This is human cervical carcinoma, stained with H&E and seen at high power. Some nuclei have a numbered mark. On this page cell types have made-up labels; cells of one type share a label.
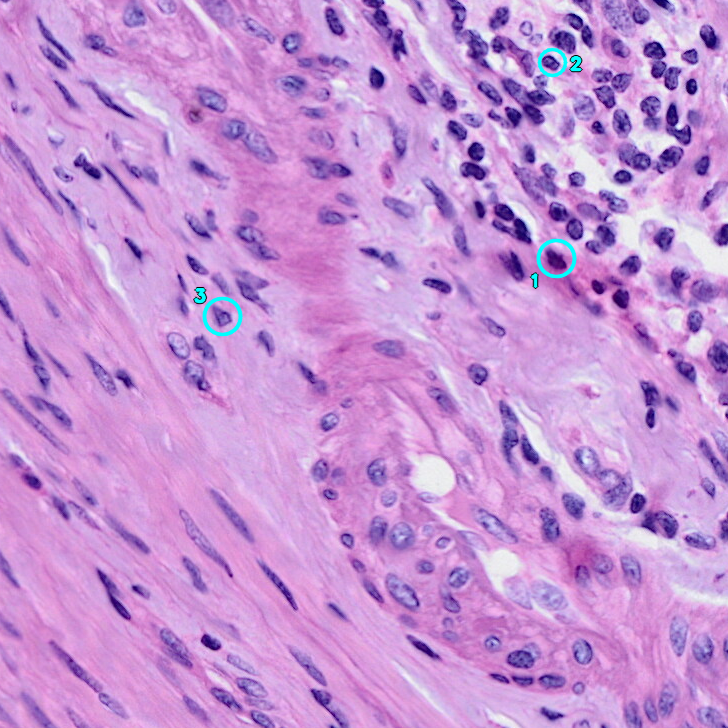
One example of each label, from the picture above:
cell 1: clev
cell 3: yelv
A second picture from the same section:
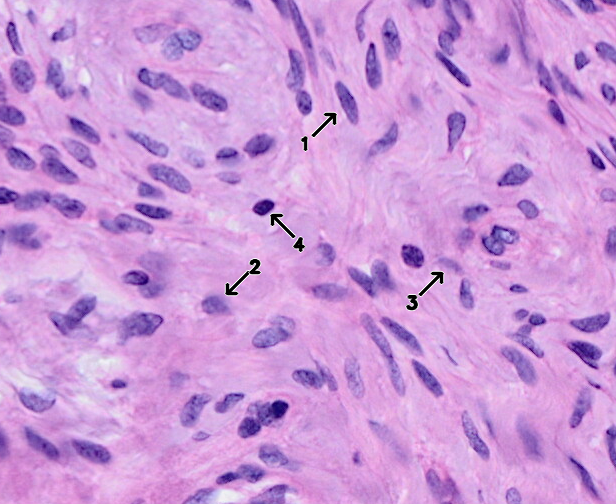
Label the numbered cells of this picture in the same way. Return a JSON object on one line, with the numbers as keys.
{"1": "yelv", "2": "yelv", "3": "yelv", "4": "clev"}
